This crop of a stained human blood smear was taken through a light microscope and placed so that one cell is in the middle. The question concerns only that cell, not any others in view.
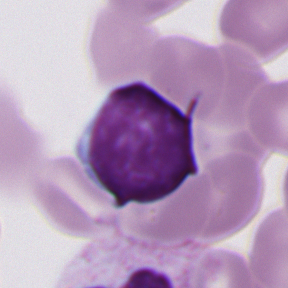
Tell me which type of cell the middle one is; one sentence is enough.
Occupying the centre of the crop is a typical lymphocyte.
